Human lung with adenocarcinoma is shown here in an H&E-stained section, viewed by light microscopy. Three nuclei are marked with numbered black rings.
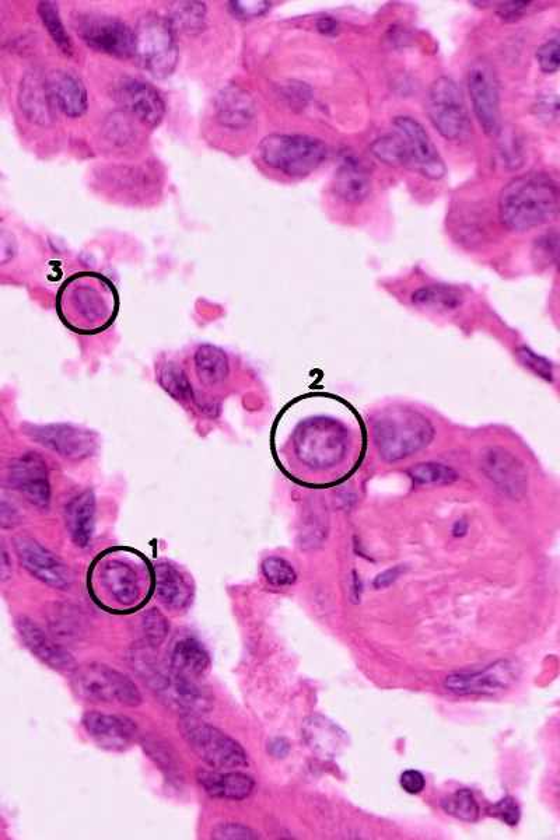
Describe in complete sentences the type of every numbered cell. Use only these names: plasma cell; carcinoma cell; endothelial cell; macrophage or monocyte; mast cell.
Cells 1 and 2 are carcinoma cells. Cell 3 is a macrophage or monocyte.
